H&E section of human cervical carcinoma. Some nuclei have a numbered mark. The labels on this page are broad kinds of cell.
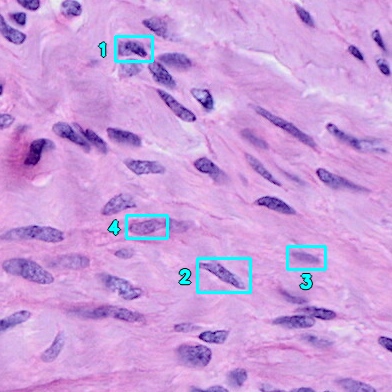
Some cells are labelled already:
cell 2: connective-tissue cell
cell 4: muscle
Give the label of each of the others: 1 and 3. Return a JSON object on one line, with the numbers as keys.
{"1": "connective-tissue cell", "3": "connective-tissue cell"}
